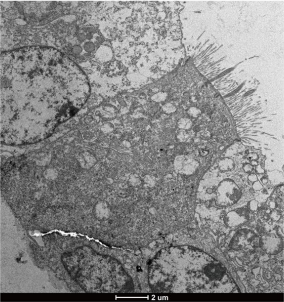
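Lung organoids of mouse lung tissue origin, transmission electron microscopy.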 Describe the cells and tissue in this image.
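Below and to the left, parts of neighbouring cells are visible, including oval nuclei with a thin rim of darker chromatin beneath the nuclear envelope. The projections are confined to one face of the cell, giving it a clear apical pole that faces the empty space above.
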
